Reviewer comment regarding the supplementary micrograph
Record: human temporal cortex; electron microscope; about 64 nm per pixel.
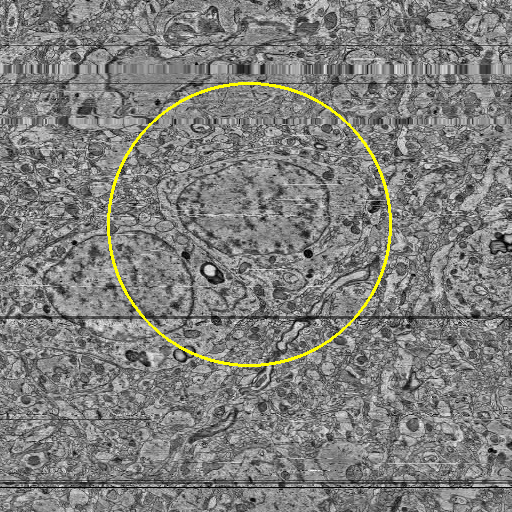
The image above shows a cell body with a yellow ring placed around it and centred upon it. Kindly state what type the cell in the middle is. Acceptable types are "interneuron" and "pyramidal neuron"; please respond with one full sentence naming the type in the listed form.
In the image above, the cell on which the yellow ring is centred is a pyramidal neuron.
